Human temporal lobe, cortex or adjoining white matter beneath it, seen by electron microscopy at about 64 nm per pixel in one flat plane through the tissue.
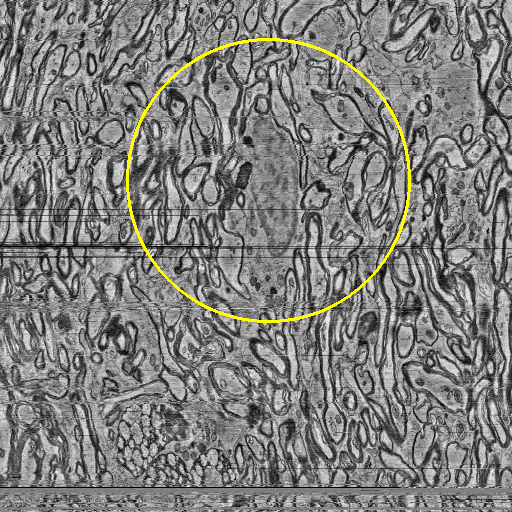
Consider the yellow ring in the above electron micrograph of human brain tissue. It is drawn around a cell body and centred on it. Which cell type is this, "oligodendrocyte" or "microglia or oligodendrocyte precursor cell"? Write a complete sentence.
The cell in question is an oligodendrocyte.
